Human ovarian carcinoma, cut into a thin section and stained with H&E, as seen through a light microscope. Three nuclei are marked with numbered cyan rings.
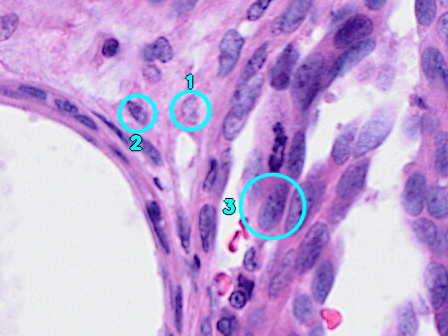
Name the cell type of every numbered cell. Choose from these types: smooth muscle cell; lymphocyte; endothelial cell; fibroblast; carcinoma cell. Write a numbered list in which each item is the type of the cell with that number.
1. fibroblast
2. fibroblast
3. carcinoma cell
